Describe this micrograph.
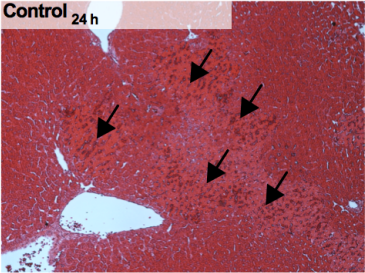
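Liver tissue at low magnification, made up of red-stained hepatocytes in a dense parenchyma crossed by a few white vessel lumens. A large, irregular area of injury spreads from near the vessels across the centre of the field. Within it the tissue is paler and disrupted, and it is studded with many dark red-brown granular clusters, consistent with hemorrhage in necrotic tissue. The border between this damaged zone and the surrounding more uniform parenchyma is uneven. Outside the lesion the hepatocyte plates look continuous, with fine sinusoidal spaces between them.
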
